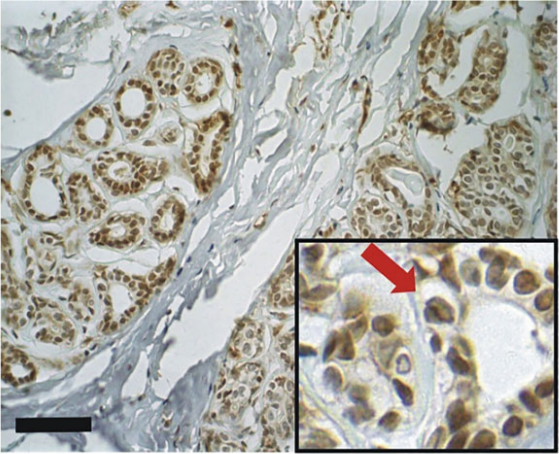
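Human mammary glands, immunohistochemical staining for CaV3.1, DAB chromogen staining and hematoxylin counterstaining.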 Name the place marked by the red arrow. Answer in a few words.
Nuclear.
